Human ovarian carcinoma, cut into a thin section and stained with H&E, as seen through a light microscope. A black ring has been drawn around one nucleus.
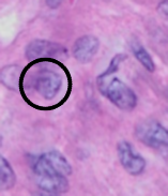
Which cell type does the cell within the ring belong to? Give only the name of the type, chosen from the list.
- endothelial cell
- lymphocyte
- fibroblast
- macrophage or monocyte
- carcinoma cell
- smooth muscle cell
fibroblast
